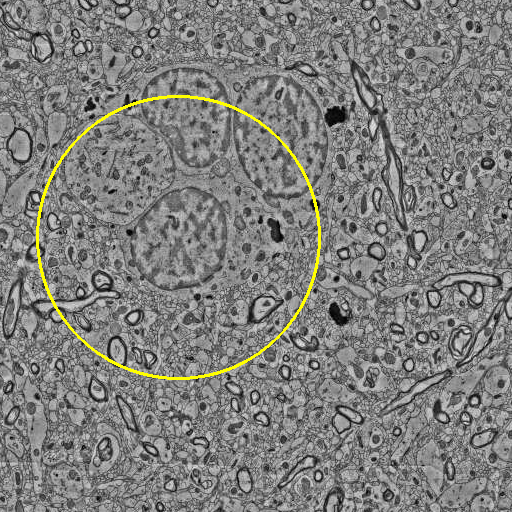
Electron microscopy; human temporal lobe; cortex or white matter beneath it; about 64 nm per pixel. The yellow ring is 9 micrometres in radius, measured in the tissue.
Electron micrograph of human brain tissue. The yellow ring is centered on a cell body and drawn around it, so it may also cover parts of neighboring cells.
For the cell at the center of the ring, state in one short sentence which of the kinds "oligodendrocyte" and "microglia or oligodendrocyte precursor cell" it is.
This ring is centered on an oligodendrocyte.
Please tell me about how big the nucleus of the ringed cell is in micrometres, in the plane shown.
In this plane the nucleus is about 6 micrometres across.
